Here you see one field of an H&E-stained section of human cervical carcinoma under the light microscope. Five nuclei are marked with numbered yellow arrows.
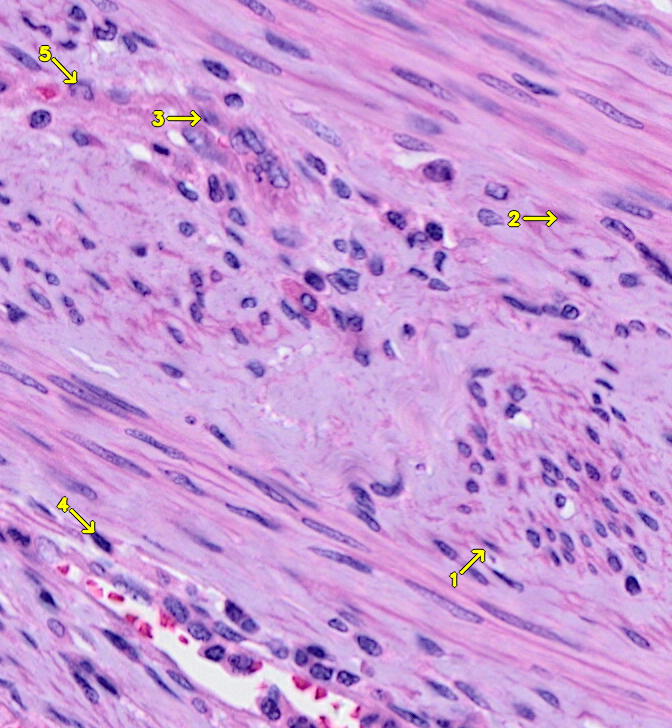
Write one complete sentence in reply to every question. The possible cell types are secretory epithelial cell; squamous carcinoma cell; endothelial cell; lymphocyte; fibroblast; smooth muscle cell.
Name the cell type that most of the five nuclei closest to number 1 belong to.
Of the five nuclei nearest to number 1, most belong to fibroblasts.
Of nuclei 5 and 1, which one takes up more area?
At about 2.5 times the area of nucleus 1, nucleus 5 is the larger of the two.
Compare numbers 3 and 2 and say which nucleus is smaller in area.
Nucleus 2 covers less area, with nucleus 3 about 2 times as large.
